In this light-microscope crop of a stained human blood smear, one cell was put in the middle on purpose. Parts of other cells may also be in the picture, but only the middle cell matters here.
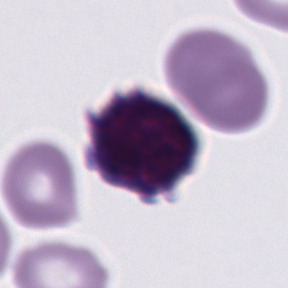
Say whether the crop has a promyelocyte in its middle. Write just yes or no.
no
